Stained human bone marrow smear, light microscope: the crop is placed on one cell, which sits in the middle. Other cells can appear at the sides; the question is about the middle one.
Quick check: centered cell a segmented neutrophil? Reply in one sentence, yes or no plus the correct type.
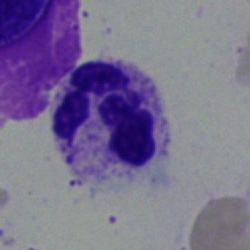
Yes, the middle cell is classified as a segmented neutrophil.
